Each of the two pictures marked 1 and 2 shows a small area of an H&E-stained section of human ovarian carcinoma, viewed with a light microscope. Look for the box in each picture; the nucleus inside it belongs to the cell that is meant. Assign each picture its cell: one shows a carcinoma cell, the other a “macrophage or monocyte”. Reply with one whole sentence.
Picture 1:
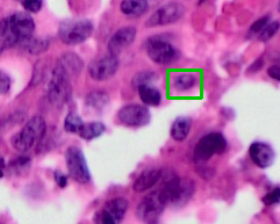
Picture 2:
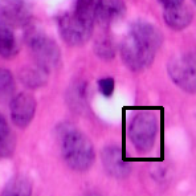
Picture 1 is of a “macrophage or monocyte”, and picture 2 is of a carcinoma cell.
